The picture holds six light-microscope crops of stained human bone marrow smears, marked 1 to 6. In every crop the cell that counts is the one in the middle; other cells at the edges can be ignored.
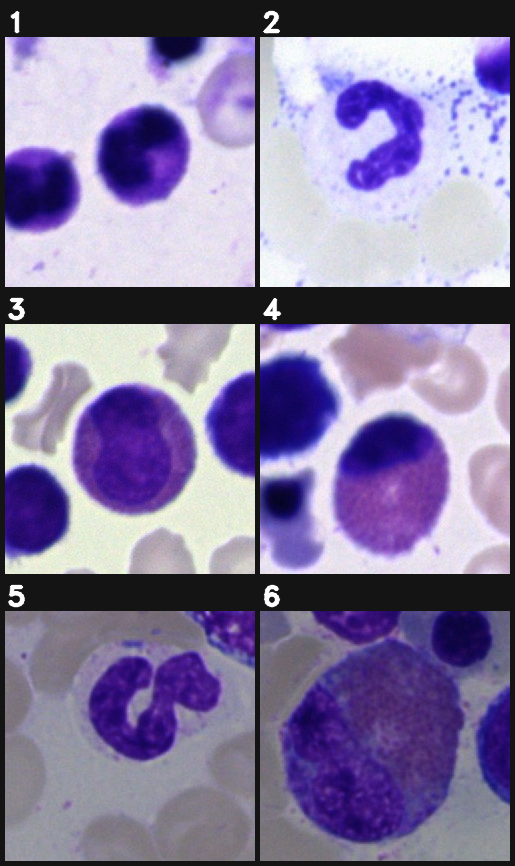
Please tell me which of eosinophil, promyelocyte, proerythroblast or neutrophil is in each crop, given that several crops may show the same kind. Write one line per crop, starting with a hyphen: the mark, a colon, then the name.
- 1: neutrophil
- 2: neutrophil
- 3: eosinophil
- 4: eosinophil
- 5: neutrophil
- 6: eosinophil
